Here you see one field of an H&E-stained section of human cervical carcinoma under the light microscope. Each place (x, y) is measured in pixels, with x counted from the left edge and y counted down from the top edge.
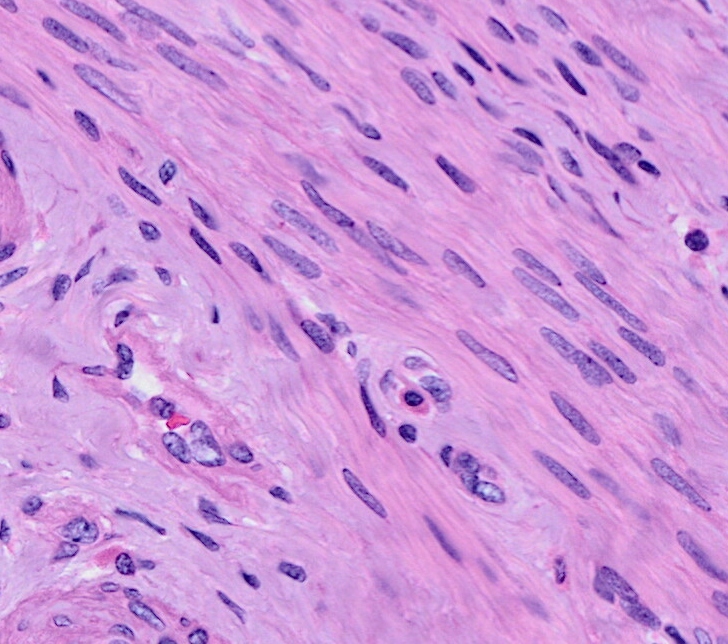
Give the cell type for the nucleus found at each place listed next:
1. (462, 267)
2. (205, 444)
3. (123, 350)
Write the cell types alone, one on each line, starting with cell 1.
fibroblast
endothelial cell
endothelial cell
